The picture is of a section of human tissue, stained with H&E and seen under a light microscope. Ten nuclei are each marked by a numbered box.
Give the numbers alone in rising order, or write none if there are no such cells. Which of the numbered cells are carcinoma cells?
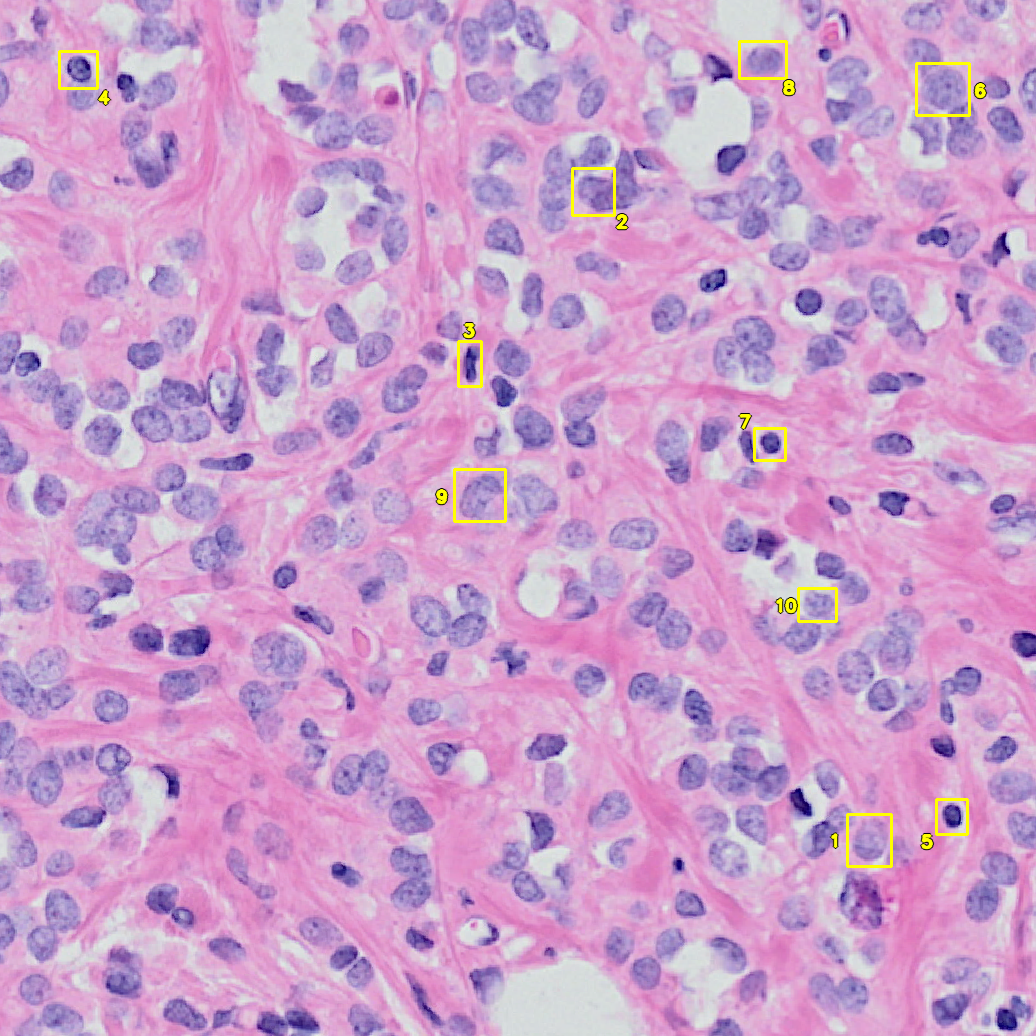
1, 2, 6, 8, 9, 10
